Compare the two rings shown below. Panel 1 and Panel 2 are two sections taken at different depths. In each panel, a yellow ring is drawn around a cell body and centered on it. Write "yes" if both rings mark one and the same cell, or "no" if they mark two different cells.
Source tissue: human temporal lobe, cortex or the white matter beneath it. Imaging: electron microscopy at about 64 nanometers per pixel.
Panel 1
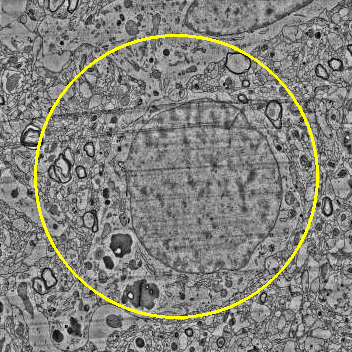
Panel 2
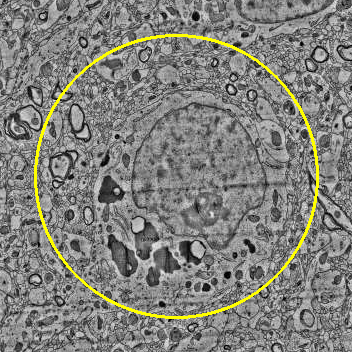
yes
